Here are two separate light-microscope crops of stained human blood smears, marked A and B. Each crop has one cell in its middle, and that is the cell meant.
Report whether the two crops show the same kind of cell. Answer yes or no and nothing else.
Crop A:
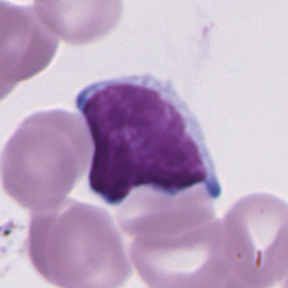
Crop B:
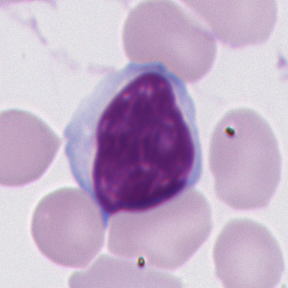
yes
